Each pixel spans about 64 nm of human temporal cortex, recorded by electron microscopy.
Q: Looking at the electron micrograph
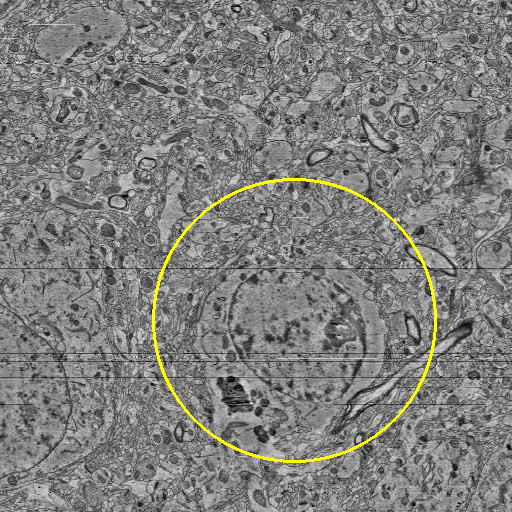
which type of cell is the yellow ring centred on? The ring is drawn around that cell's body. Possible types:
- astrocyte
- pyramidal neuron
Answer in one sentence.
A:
The yellow ring is centred on an astrocyte.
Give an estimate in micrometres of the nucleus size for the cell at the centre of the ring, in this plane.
Approximately 10 x 8 micrometres in this plane.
